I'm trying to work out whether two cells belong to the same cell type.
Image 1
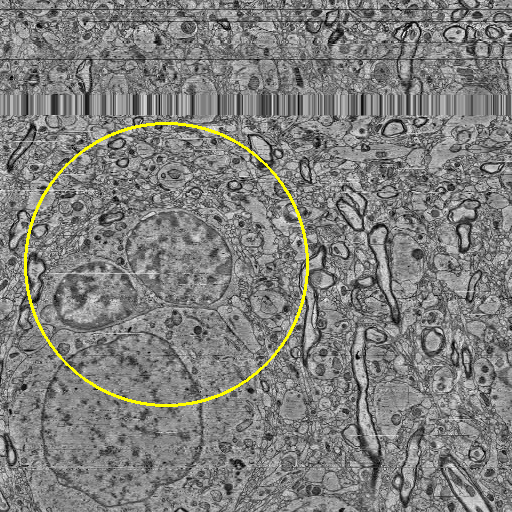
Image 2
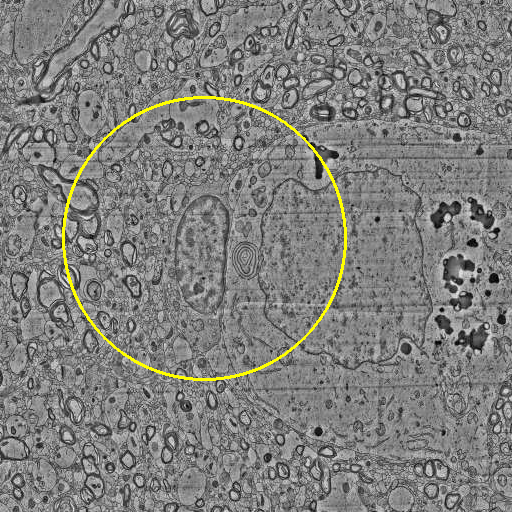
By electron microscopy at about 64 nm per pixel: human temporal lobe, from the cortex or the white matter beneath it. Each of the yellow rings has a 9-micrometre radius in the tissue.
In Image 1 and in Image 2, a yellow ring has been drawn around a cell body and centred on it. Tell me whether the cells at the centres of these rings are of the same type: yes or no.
yes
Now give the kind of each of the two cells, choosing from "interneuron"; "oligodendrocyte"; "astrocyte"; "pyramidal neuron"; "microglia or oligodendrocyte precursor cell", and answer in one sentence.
In each of the two pictures, the ringed cell is an oligodendrocyte.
